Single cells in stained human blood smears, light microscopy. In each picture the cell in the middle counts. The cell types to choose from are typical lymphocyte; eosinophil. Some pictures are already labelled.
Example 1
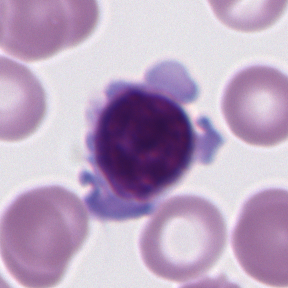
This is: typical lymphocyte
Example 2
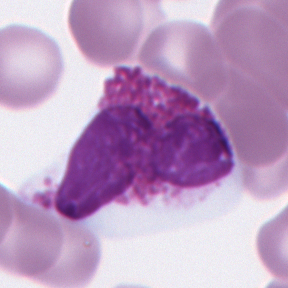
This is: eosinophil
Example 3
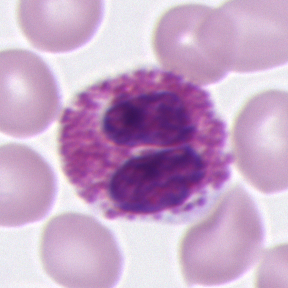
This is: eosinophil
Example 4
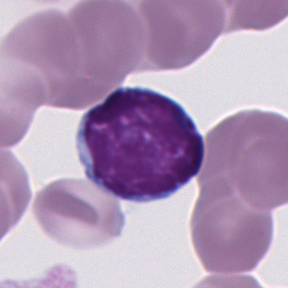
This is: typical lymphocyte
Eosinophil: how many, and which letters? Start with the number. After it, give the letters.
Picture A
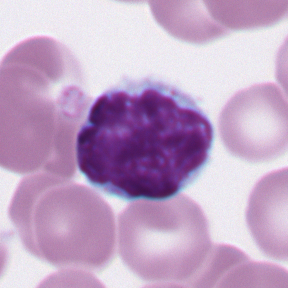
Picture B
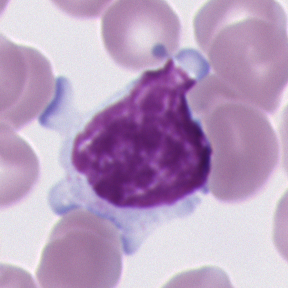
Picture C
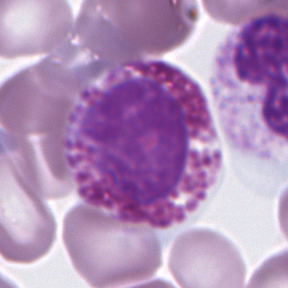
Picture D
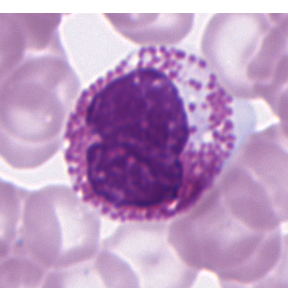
Count: 2 (C, D)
